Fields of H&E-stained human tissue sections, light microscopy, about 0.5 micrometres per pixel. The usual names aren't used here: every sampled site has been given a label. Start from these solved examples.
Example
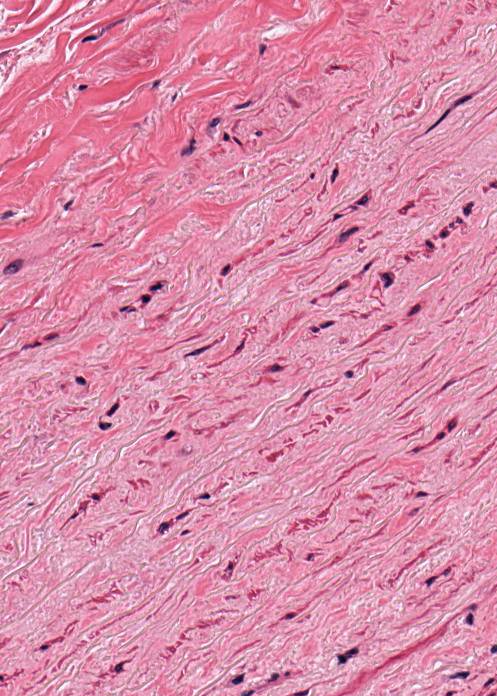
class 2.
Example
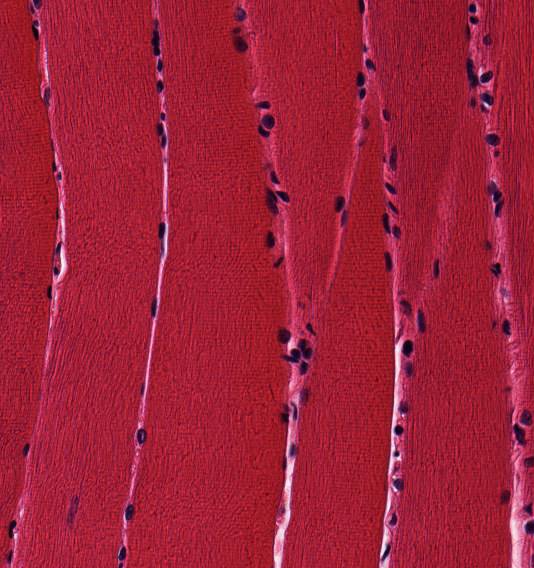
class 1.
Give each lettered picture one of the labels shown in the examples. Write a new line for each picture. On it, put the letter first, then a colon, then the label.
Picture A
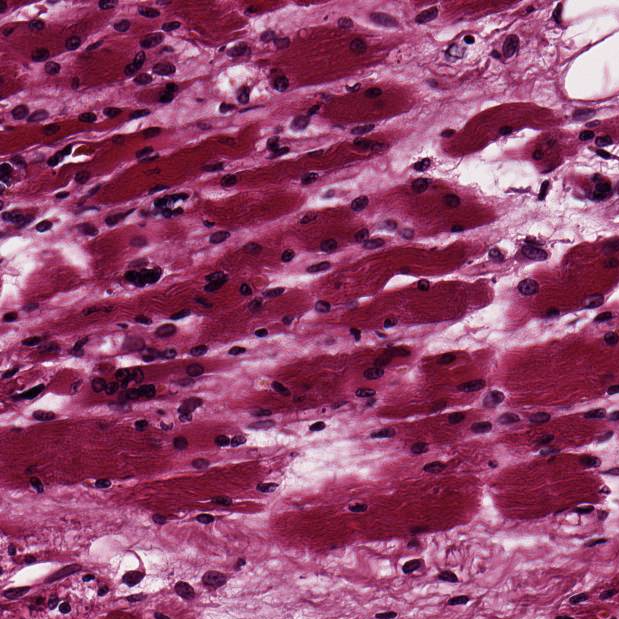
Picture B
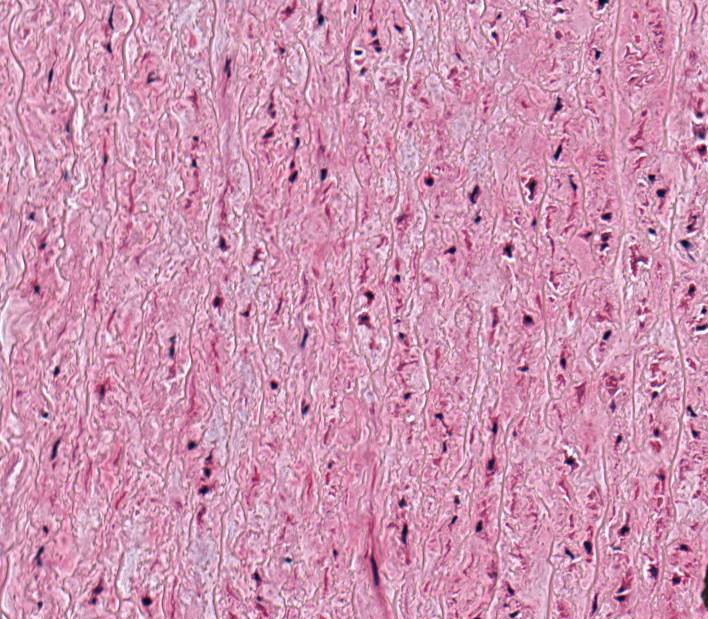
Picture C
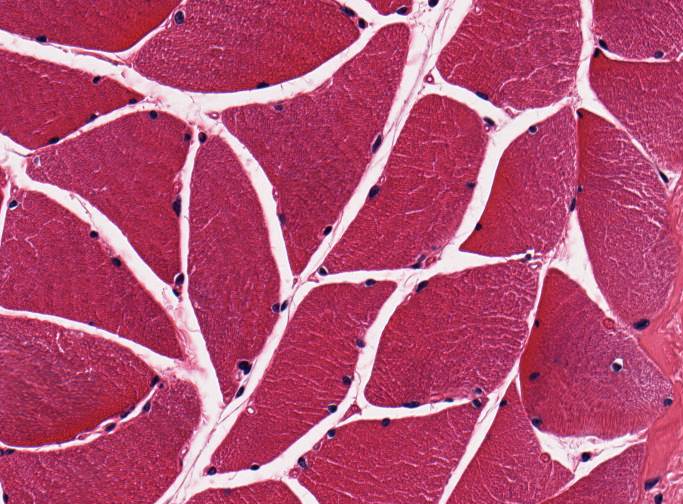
A: class 1.
B: class 2.
C: class 1.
